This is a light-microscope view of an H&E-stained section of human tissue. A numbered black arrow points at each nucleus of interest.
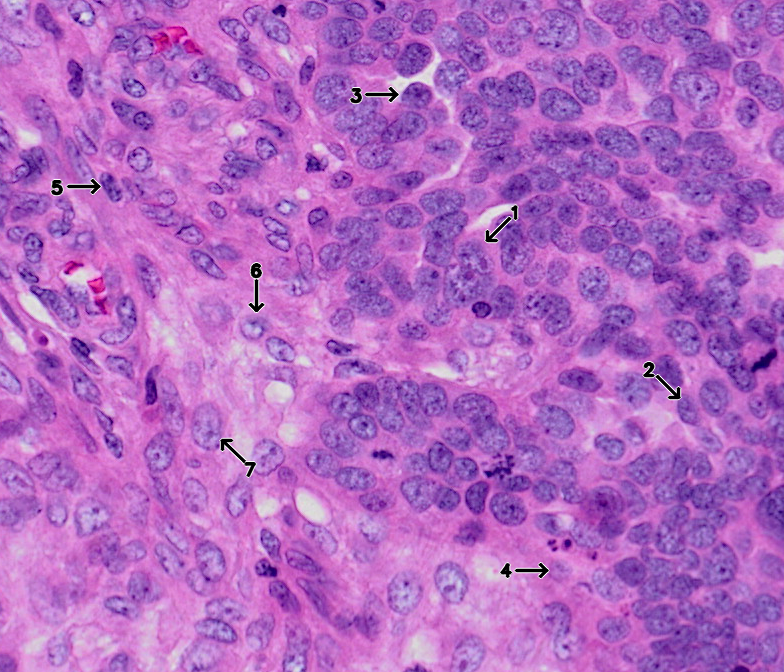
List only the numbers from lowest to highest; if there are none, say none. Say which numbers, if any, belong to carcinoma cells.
1, 2, 3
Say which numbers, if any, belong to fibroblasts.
4, 6, 7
